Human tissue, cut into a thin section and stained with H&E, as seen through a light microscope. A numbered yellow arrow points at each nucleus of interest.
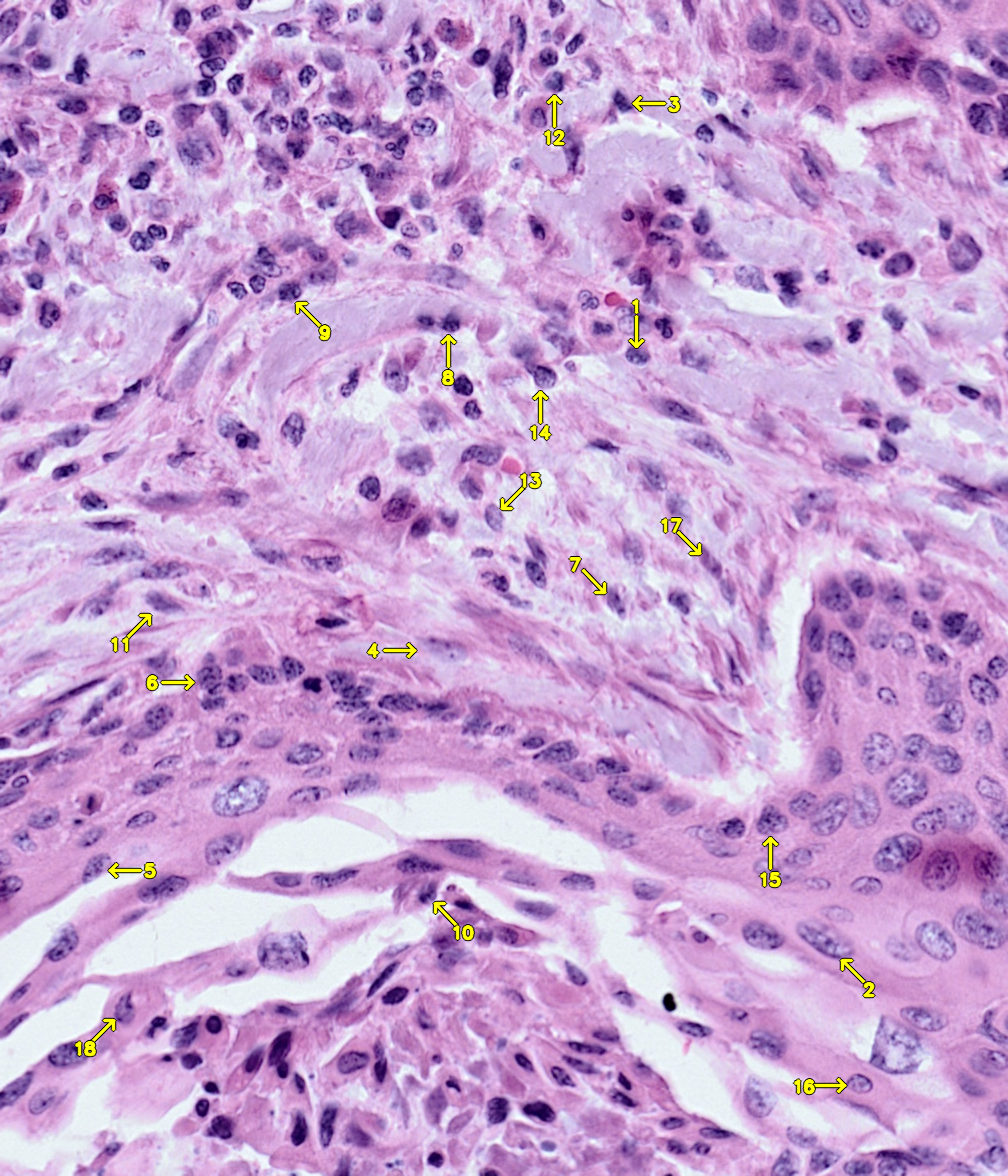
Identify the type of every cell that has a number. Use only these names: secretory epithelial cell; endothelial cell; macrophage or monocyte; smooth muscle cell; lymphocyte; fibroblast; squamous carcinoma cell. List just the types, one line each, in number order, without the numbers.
lymphocyte
squamous carcinoma cell
lymphocyte
fibroblast
squamous carcinoma cell
squamous carcinoma cell
fibroblast
lymphocyte
lymphocyte
squamous carcinoma cell
fibroblast
lymphocyte
macrophage or monocyte
macrophage or monocyte
squamous carcinoma cell
squamous carcinoma cell
fibroblast
squamous carcinoma cell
